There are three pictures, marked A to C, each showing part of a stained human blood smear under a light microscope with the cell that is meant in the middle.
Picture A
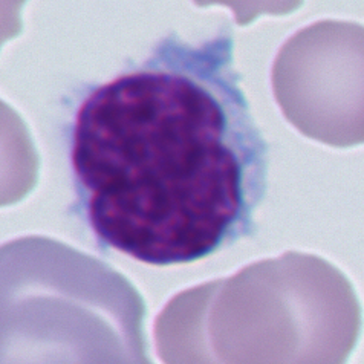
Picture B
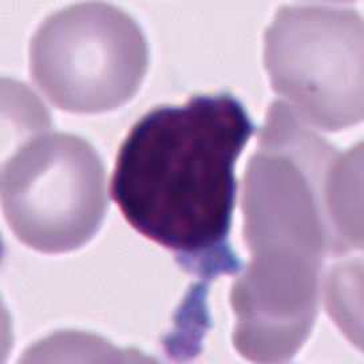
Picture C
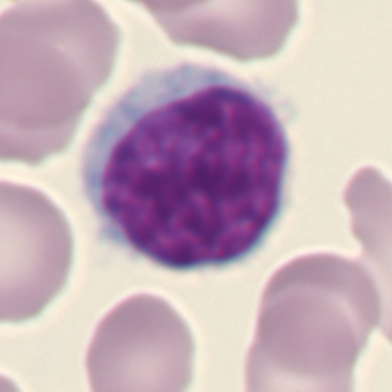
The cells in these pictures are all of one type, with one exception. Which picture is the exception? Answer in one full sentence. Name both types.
The different one is picture B; it shows a typical lymphocyte, whereas all the others show hairy cells.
